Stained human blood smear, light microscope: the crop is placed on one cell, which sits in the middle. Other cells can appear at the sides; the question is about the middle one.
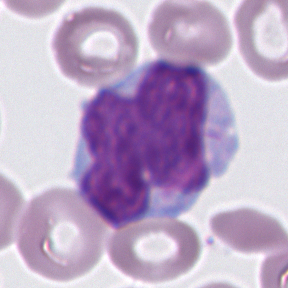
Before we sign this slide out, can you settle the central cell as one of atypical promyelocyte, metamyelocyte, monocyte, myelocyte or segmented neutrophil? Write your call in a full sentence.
The centrally located cell in the crop is an atypical promyelocyte.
